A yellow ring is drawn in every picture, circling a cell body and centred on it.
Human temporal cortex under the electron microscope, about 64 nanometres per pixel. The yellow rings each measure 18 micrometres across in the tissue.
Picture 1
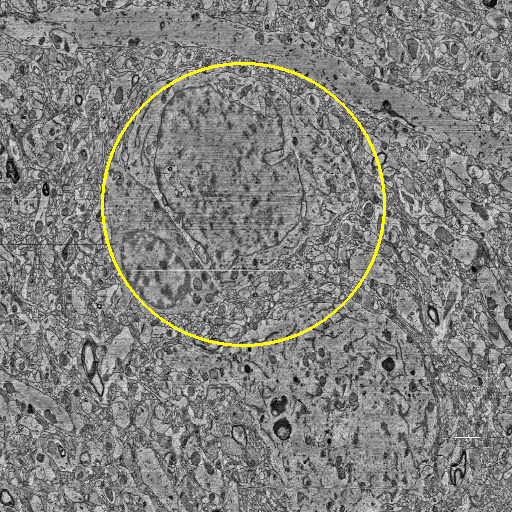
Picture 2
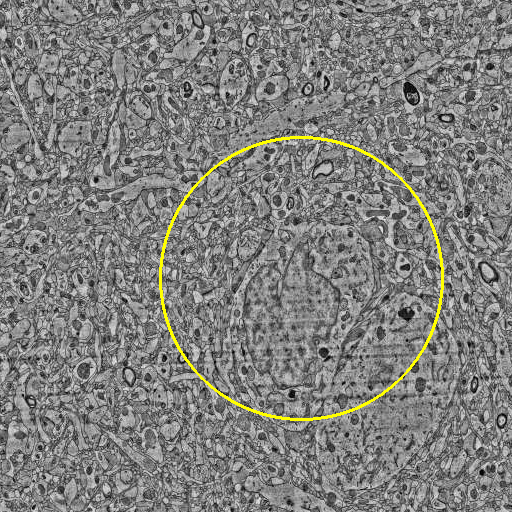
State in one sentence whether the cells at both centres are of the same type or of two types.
The cells at the two ring centres, one per picture, are of the same type.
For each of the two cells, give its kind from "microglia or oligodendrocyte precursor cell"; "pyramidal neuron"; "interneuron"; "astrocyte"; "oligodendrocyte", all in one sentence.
Both cells are the same kind, each one being an interneuron.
